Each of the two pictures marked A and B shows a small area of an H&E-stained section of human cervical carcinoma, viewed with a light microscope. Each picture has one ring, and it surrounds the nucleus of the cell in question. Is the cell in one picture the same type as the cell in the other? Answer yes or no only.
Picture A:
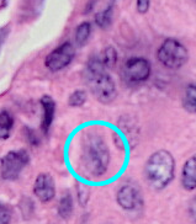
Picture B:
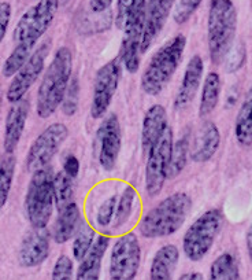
yes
